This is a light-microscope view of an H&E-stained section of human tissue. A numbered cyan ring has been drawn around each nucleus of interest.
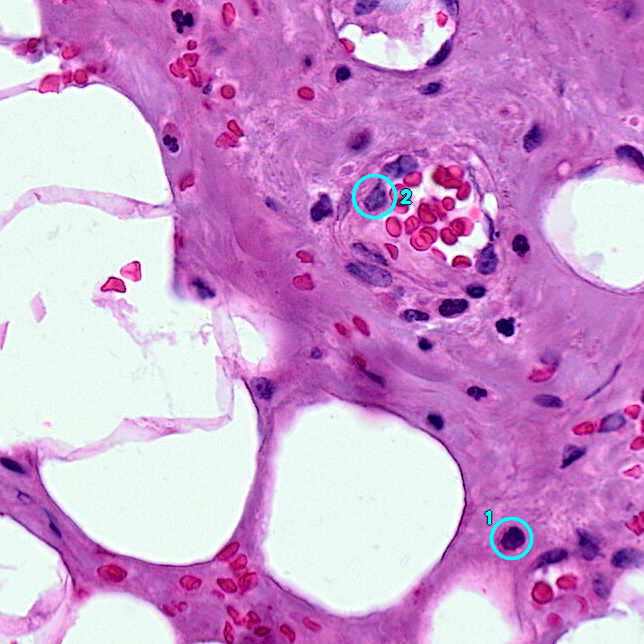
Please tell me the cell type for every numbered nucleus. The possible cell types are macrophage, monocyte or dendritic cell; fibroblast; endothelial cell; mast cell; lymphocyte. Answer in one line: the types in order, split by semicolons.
macrophage, monocyte or dendritic cell; endothelial cell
